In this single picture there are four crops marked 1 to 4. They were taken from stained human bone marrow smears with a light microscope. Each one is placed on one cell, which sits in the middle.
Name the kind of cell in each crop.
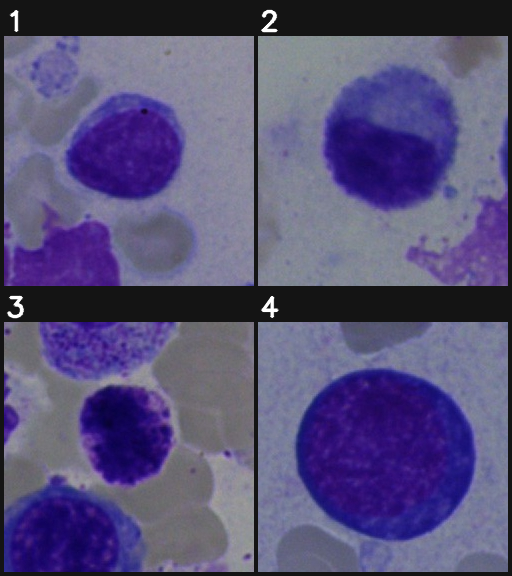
1: lymphocyte
2: metamyelocyte
3: basophil
4: proerythroblast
